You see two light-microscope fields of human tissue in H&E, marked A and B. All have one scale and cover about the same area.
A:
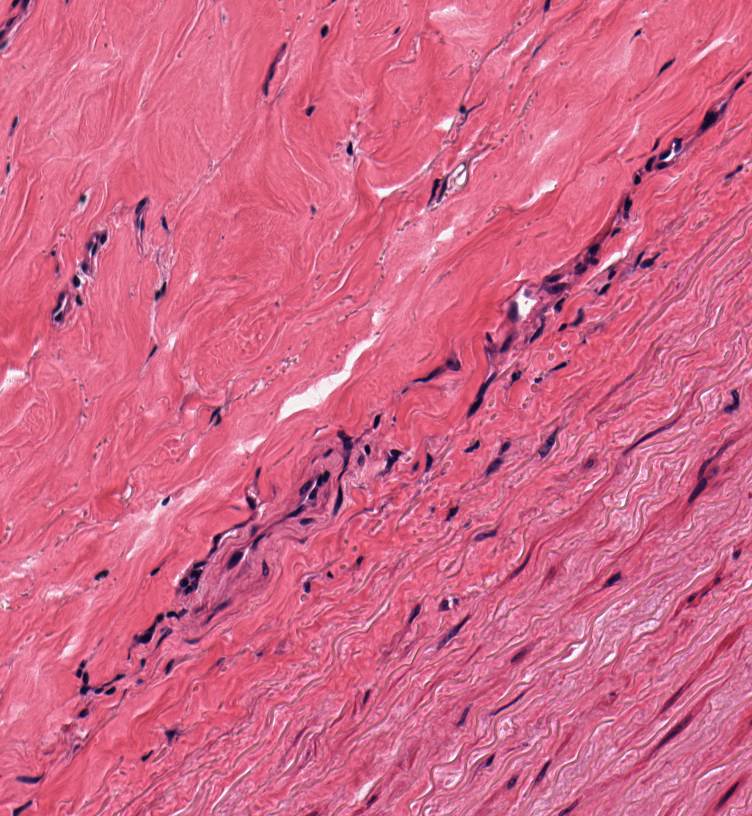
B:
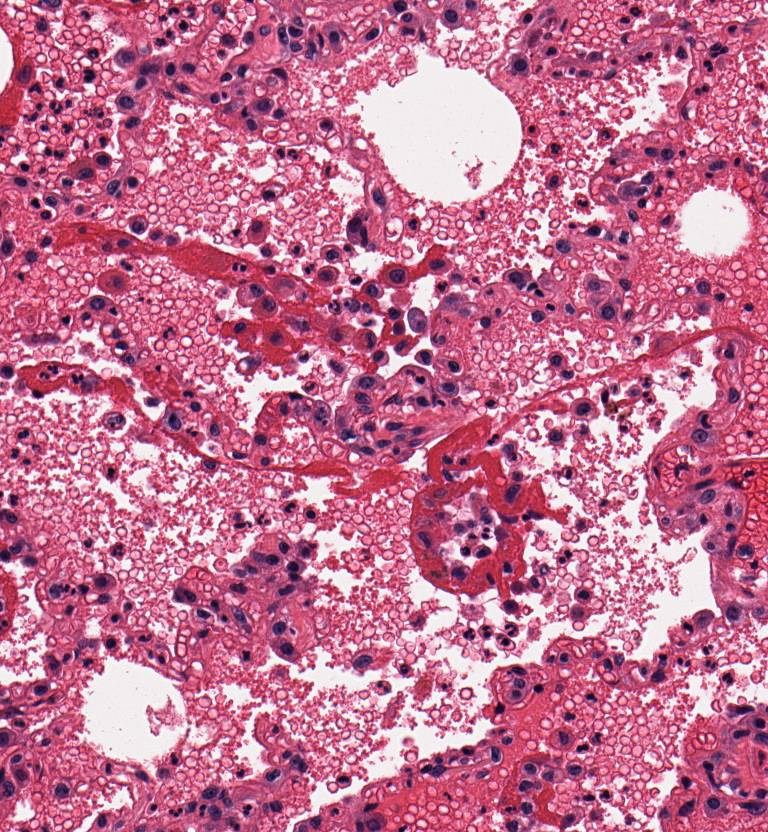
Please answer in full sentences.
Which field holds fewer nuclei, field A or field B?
There are fewer nuclei in field A.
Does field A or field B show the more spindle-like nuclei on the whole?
It is field A whose nuclei are the more elongated.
